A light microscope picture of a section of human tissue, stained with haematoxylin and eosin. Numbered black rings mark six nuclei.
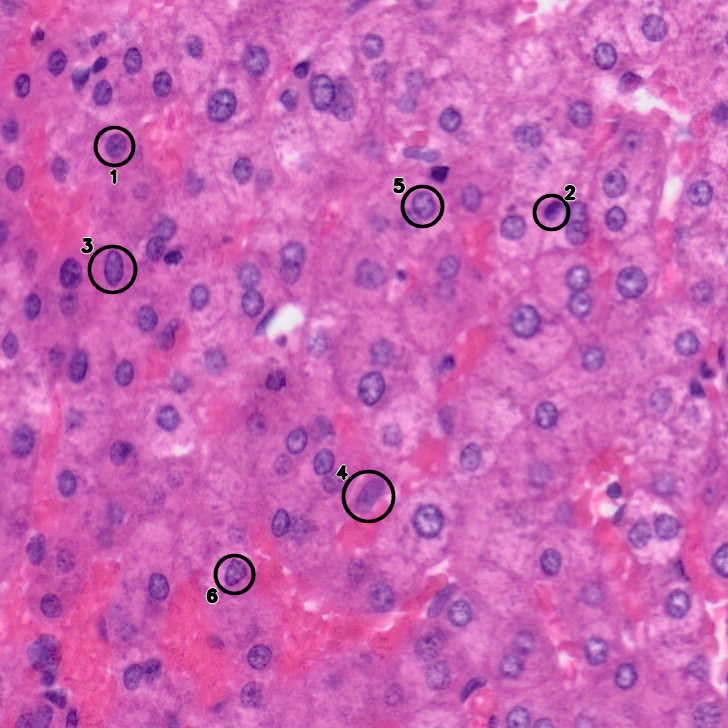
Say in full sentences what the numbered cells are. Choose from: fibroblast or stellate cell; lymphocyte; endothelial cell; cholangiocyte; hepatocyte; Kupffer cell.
Cell 1 is a hepatocyte, cell 2 is a fibroblast or stellate cell, cell 3 is a hepatocyte, cell 4 is a Kupffer cell, cell 5 is a hepatocyte and cell 6 is a hepatocyte.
